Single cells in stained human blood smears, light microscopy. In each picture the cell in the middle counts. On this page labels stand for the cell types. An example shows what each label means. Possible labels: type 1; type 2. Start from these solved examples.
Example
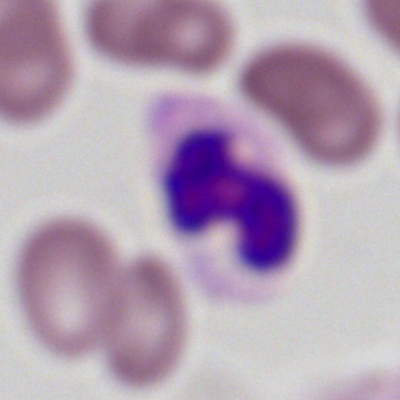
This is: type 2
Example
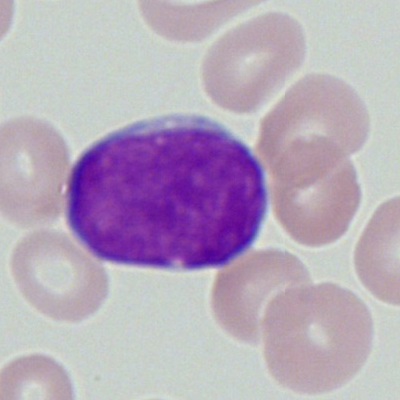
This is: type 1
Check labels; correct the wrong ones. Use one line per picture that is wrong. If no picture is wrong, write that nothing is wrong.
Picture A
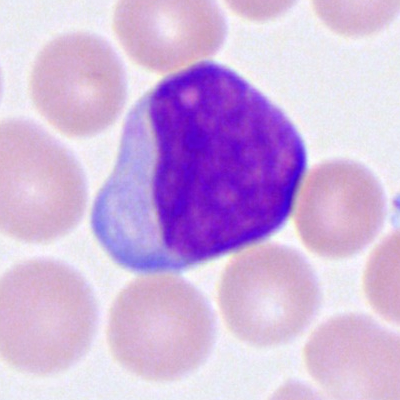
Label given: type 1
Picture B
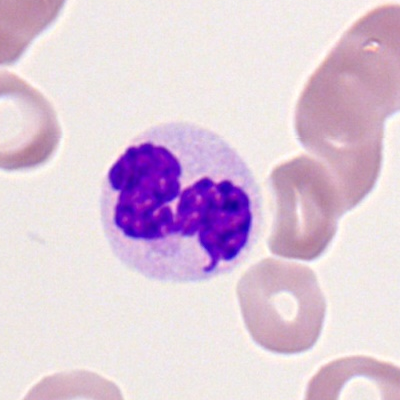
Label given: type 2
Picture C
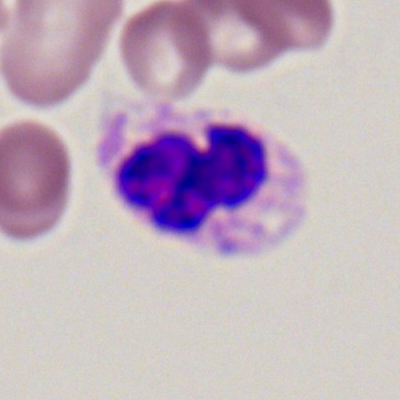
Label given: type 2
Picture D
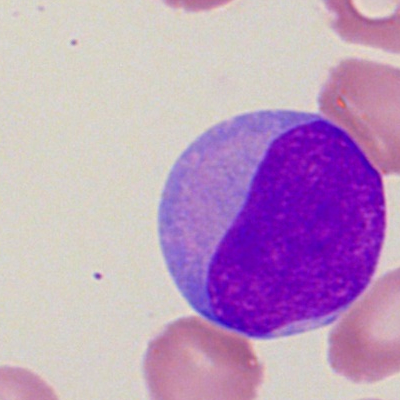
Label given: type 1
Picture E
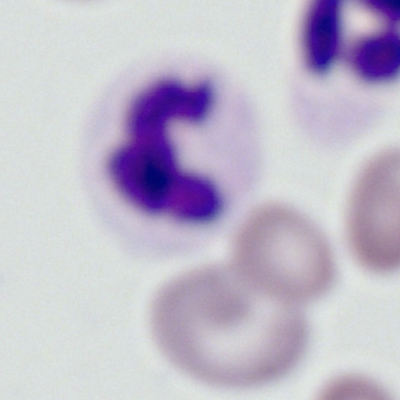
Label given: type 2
All correct.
